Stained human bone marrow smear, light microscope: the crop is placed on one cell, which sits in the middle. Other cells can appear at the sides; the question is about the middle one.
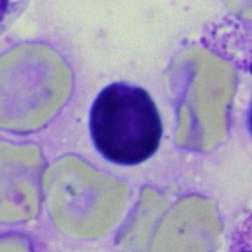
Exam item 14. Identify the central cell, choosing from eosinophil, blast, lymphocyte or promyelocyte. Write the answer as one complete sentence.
The middle cell in this particular crop is a lymphocyte.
